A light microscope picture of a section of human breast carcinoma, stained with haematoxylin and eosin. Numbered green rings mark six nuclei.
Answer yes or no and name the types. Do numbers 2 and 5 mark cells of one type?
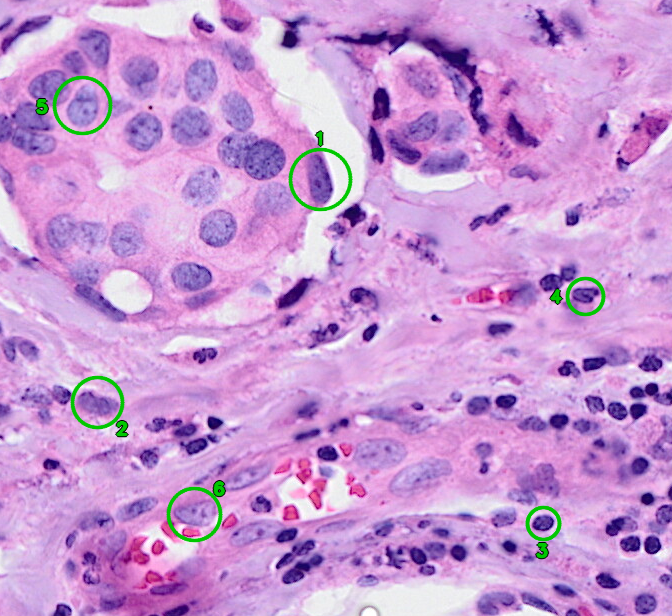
No, cell number 2 is a macrophage, monocyte or dendritic cell and cell number 5 is a carcinoma cell.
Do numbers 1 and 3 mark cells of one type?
No, cell 1 should be called a carcinoma cell, and cell 3 should be called a lymphocyte.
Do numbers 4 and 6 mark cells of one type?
No, cell 4 is a lymphocyte, while cell 6 is an endothelial cell.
